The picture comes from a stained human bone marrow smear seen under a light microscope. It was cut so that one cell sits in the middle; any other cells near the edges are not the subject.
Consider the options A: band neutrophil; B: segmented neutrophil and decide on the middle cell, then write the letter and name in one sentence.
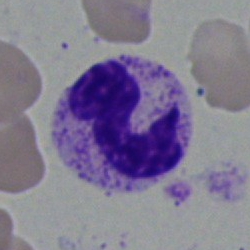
The cell placed in the middle is a band neutrophil; option A is correct.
